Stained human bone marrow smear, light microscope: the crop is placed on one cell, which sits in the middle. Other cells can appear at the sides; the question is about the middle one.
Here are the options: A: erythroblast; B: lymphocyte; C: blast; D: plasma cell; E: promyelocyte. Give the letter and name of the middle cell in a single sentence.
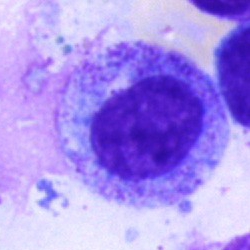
That the central cell is a promyelocyte makes option E correct.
